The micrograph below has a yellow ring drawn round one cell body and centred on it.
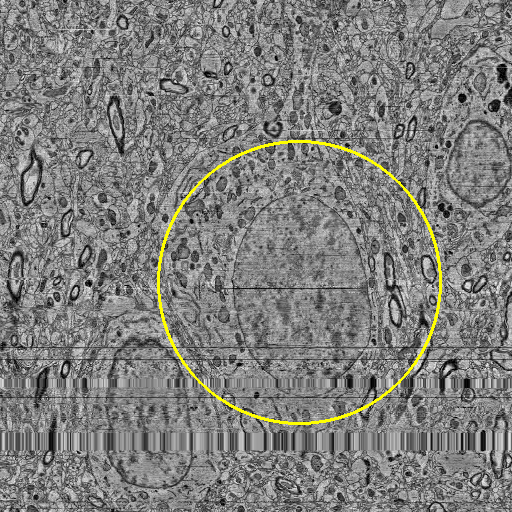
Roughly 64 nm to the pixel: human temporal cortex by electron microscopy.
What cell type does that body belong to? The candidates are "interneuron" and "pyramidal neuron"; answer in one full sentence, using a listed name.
This is an interneuron, the cell whose body lies at the centre of the ring.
